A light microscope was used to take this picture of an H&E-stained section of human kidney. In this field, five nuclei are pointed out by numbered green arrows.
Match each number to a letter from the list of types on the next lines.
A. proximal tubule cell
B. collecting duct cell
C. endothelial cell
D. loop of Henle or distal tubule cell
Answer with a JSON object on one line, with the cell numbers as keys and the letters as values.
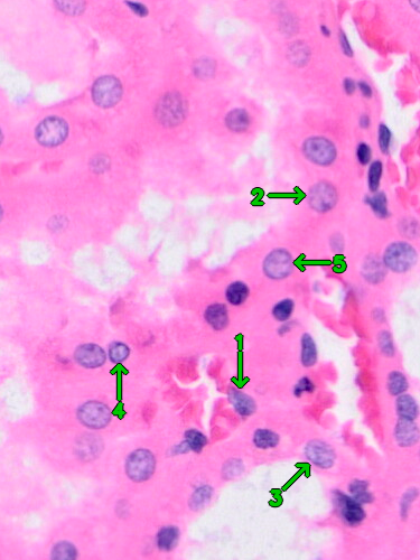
{"1": "C", "2": "A", "3": "D", "4": "A", "5": "A"}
